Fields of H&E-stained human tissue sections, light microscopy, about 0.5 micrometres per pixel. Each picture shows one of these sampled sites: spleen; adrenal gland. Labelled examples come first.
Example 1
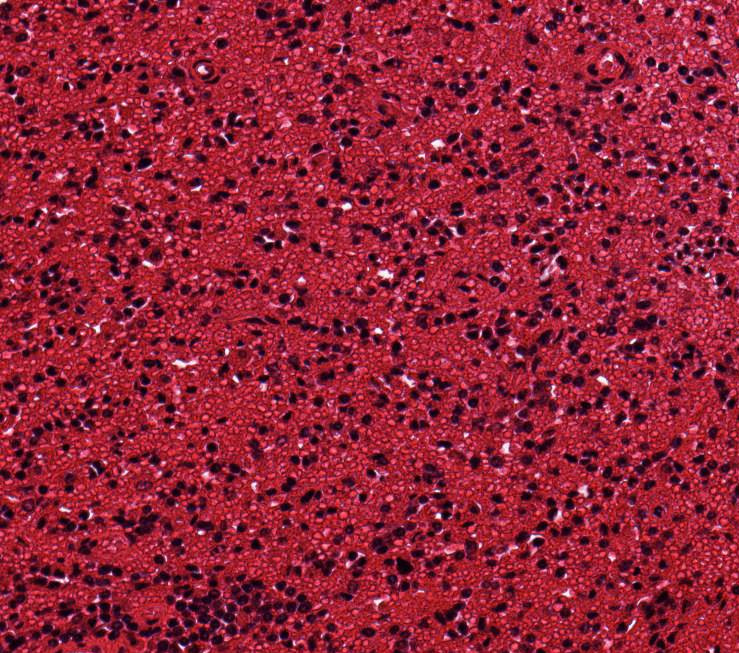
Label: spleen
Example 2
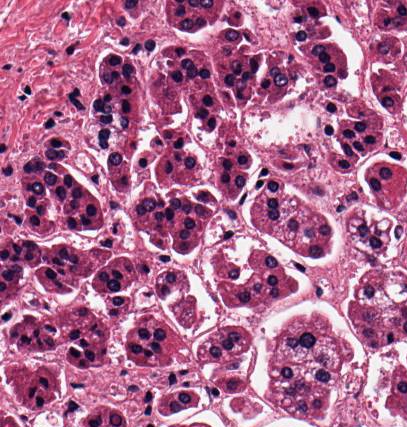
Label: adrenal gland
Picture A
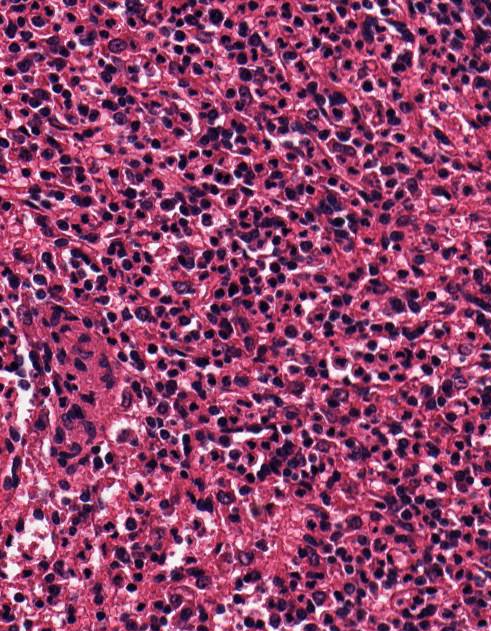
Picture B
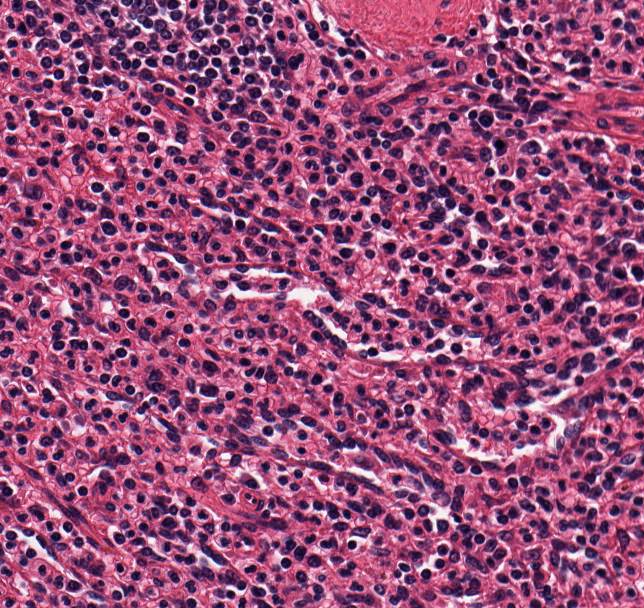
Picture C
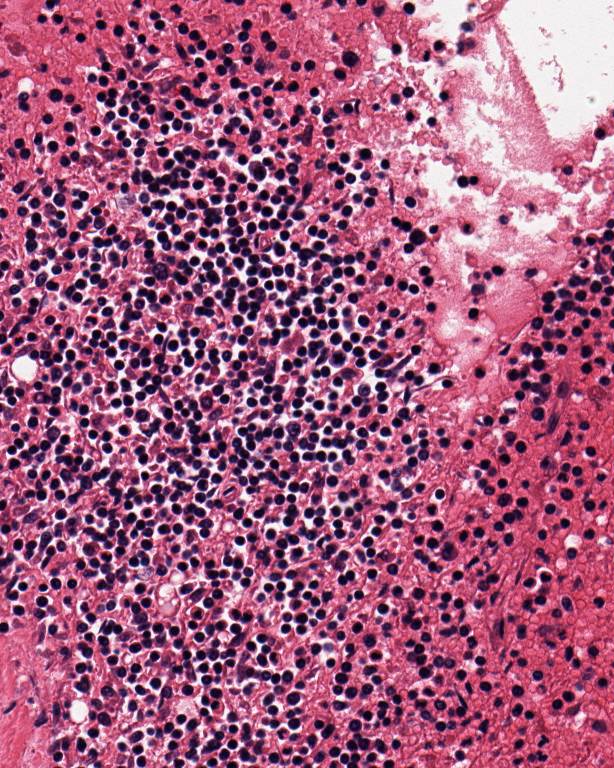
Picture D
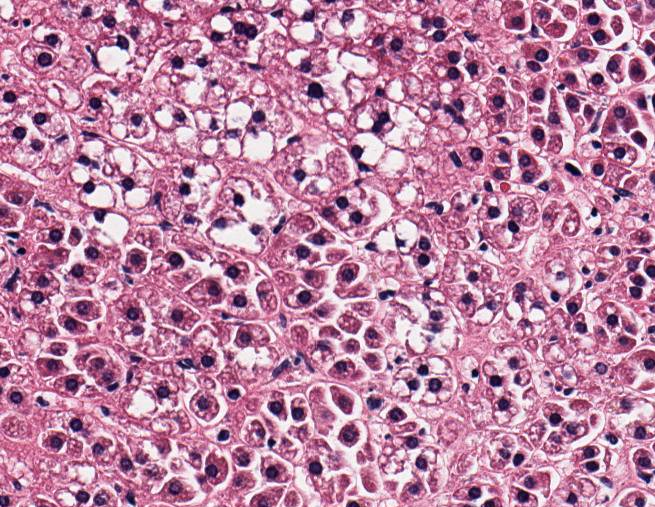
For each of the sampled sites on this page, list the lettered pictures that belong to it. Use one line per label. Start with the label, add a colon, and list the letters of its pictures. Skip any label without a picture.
spleen: A, B, C
adrenal gland: D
